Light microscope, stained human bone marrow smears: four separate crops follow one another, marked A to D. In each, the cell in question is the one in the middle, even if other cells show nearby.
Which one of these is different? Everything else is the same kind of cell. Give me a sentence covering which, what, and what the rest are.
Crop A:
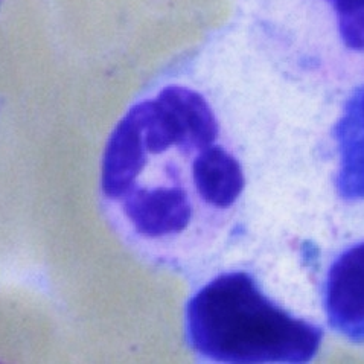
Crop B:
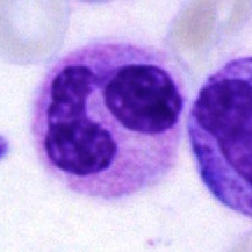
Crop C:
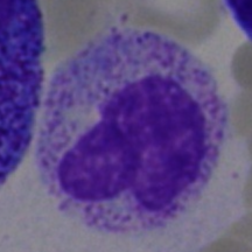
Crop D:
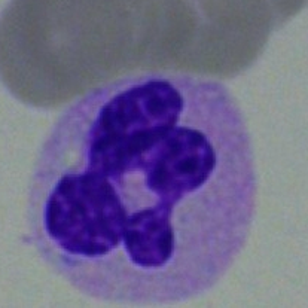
What sets crop C apart is that it is a band neutrophil; the others are all segmented neutrophils.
